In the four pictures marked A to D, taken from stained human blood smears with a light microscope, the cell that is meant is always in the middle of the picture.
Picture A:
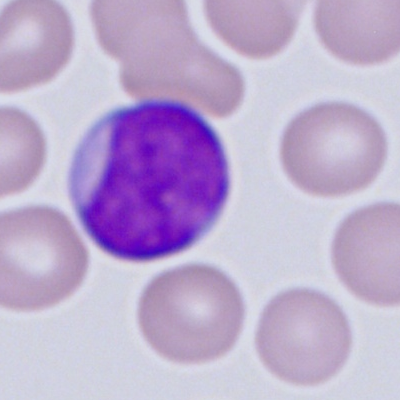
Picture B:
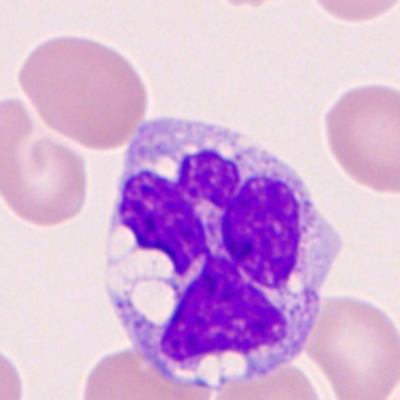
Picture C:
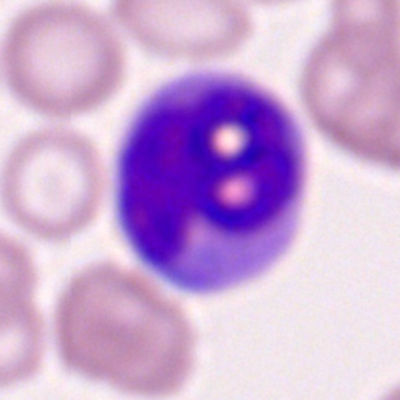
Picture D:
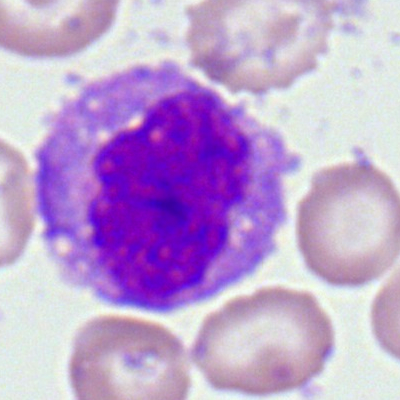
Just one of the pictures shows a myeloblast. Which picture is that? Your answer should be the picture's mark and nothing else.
A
